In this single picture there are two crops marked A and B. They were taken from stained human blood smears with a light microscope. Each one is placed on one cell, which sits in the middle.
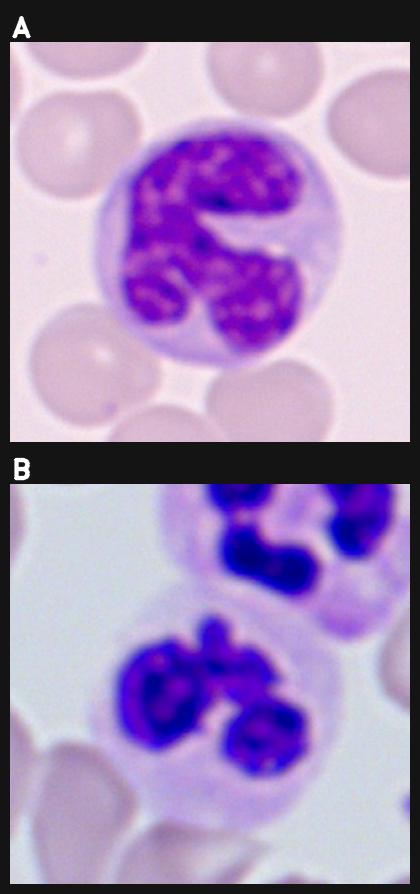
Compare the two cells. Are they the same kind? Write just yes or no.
no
